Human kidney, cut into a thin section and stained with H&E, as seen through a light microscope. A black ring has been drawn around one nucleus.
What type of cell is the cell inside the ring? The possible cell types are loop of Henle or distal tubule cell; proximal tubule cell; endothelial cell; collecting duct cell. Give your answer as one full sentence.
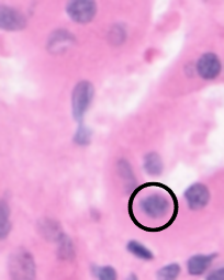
The category to which the cell inside the ring belongs is that of a loop of Henle or distal tubule cell.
